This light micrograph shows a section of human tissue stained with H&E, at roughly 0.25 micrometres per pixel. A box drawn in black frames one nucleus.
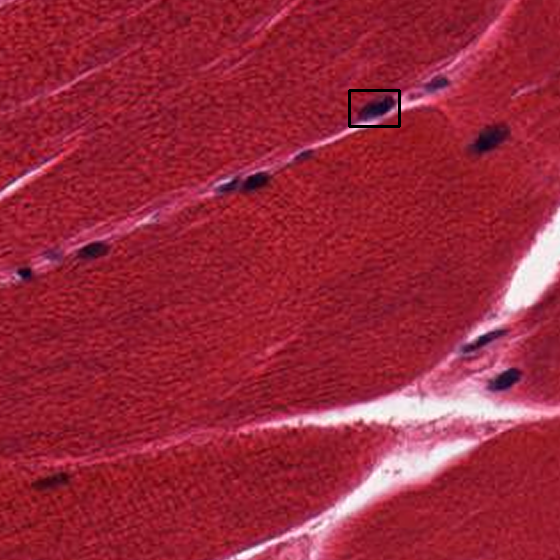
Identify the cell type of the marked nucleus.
skeletal muscle fibre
